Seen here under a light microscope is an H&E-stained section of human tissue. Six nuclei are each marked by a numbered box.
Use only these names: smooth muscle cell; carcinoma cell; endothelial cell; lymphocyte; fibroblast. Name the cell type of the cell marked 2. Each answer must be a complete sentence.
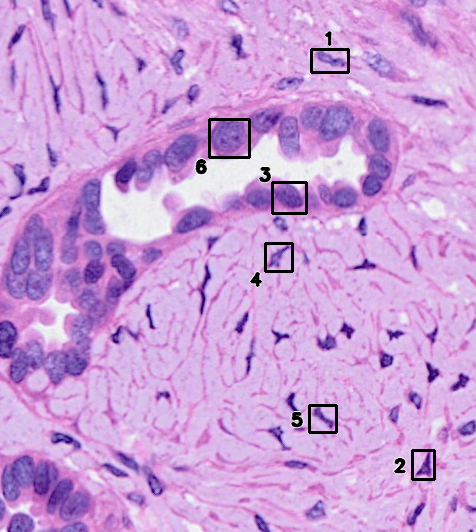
Cell 2 in the field of view is a fibroblast.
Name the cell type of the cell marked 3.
In this section, the cell tagged 3 is a carcinoma cell.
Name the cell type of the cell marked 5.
Of the numbered cells, the one labelled 5 is a fibroblast.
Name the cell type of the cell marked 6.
The identity of cell 6 is that of a carcinoma cell.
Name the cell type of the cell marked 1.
Cell 1 in the field of view is a fibroblast.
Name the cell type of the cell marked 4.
The label 4 in this section denotes a fibroblast.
